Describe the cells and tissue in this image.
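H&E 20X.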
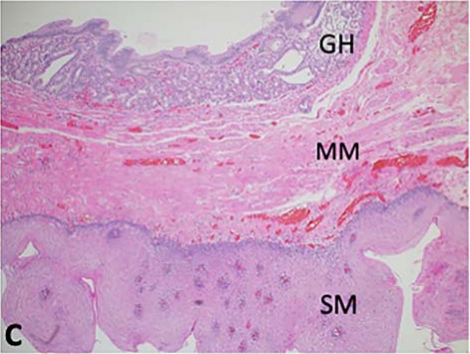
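Esophageal wall with glandular gastric-type tissue lying above a band of pink smooth muscle, with stratified squamous epithelium with rete pegs on the other side of the muscle band. The muscle band contains congested red blood vessels, and the glands form tubules and small cystic spaces in loose stroma.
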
